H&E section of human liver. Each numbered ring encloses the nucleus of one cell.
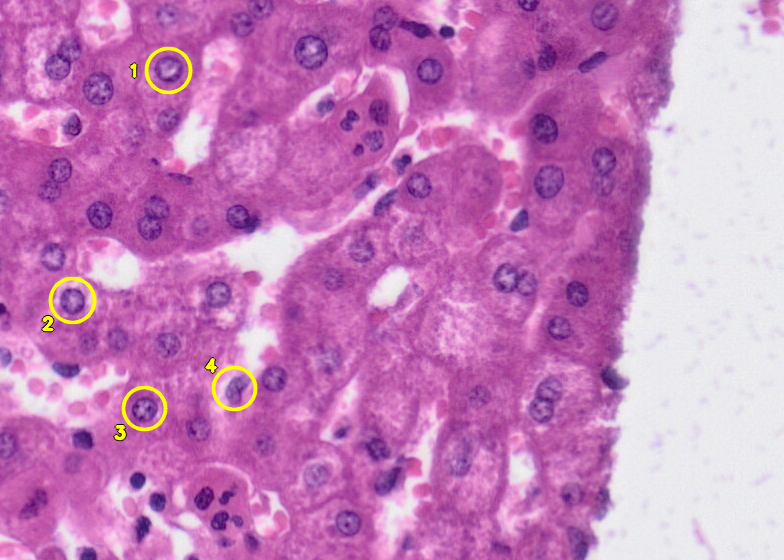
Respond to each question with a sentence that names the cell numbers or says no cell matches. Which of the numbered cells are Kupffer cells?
As for the numbered cells, only cell 4 is a Kupffer cell.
